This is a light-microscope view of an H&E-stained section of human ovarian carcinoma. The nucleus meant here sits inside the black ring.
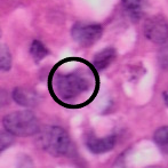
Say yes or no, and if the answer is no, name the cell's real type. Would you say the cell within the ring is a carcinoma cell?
Yes.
